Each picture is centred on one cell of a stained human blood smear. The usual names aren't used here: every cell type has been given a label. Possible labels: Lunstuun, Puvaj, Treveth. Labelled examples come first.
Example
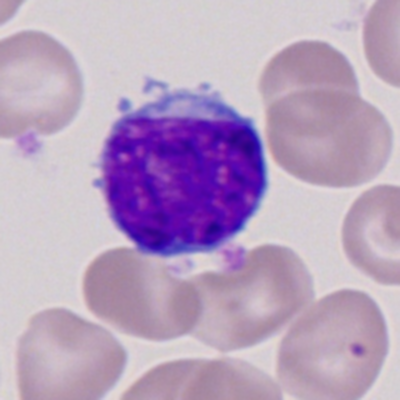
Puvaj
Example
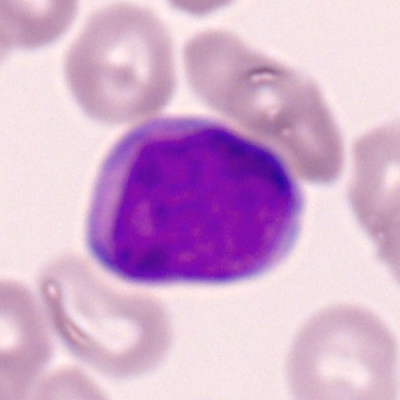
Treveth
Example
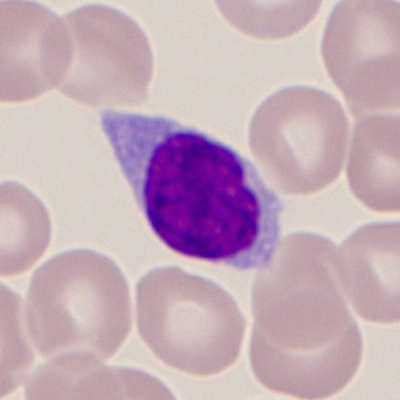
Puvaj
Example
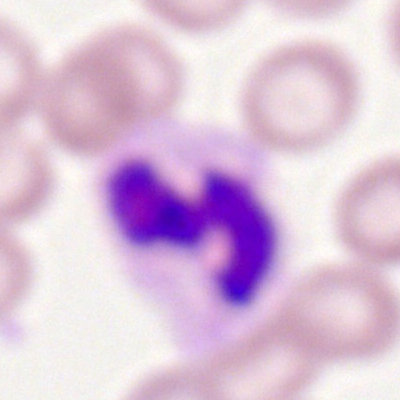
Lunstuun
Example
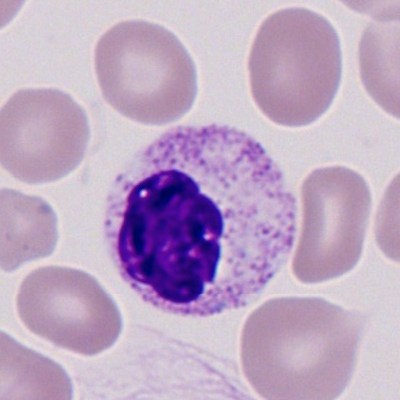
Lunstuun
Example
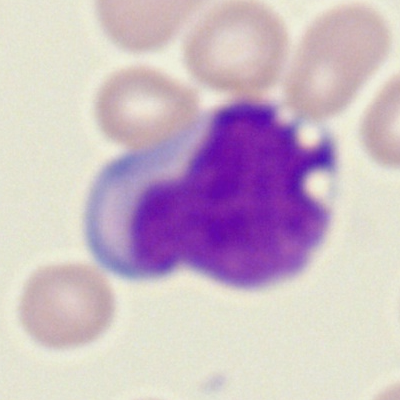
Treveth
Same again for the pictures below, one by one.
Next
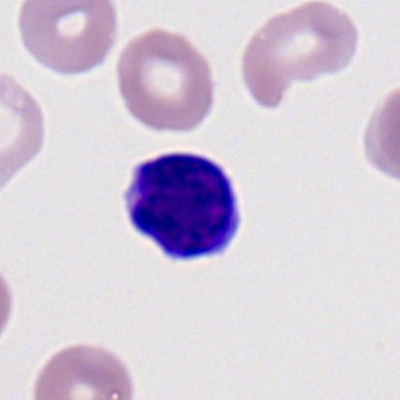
Puvaj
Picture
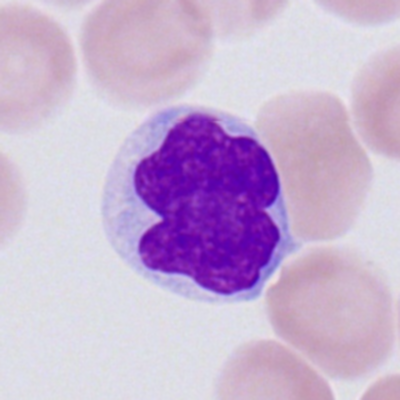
Puvaj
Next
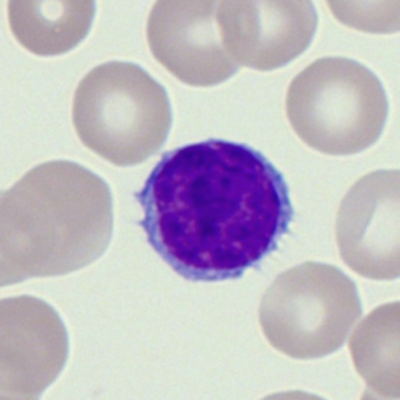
Puvaj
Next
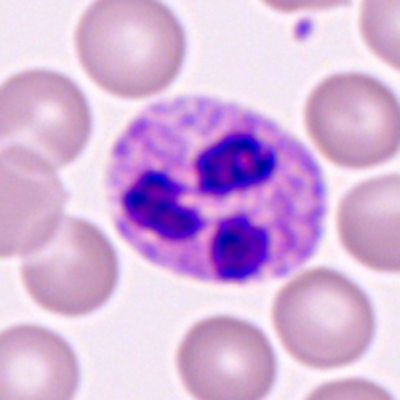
Lunstuun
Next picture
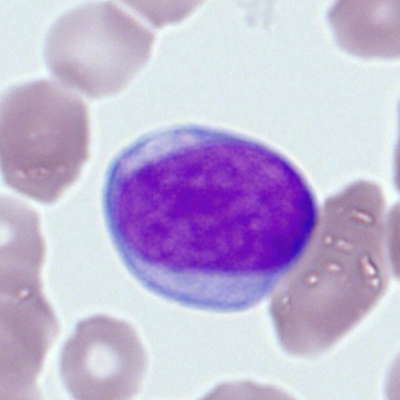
Treveth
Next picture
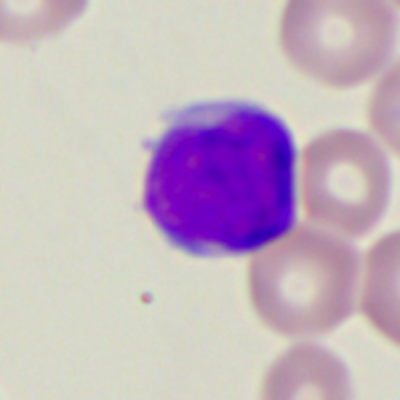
Treveth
